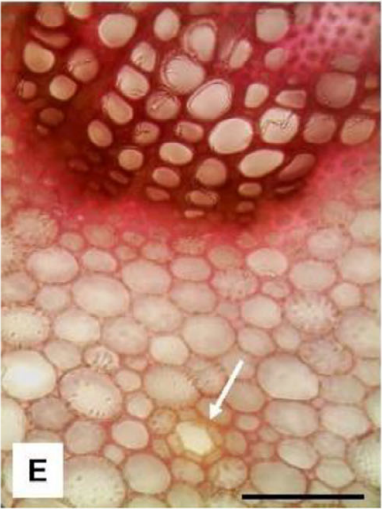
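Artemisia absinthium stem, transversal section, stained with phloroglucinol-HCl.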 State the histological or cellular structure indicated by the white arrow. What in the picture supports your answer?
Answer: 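The arrow points to a small yellowish space among rounded pith cells. That points to this answer: duct.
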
